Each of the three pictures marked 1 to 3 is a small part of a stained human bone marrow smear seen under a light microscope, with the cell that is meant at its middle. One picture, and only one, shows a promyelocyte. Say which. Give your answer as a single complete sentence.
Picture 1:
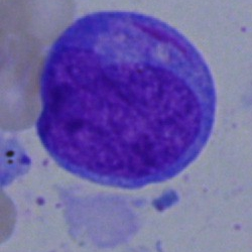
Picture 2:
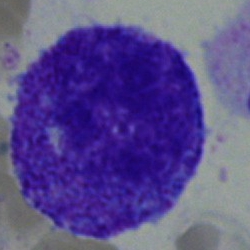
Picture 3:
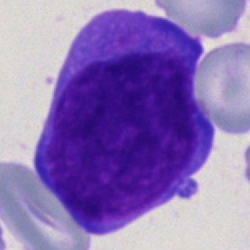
It is picture 2 that shows the promyelocyte.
